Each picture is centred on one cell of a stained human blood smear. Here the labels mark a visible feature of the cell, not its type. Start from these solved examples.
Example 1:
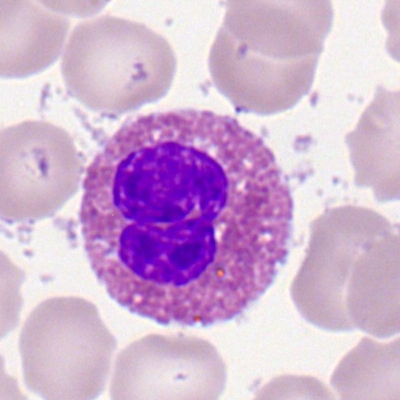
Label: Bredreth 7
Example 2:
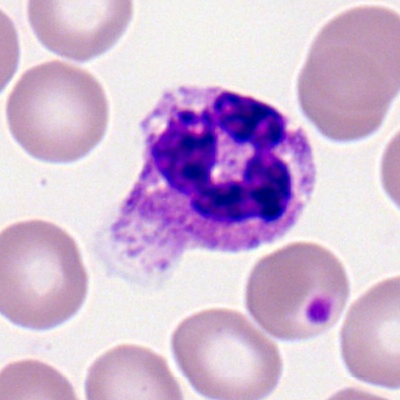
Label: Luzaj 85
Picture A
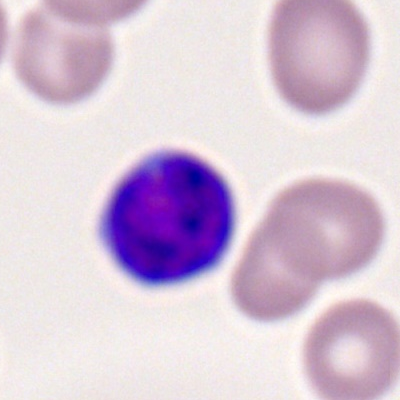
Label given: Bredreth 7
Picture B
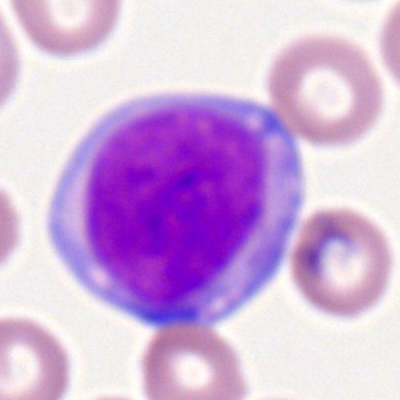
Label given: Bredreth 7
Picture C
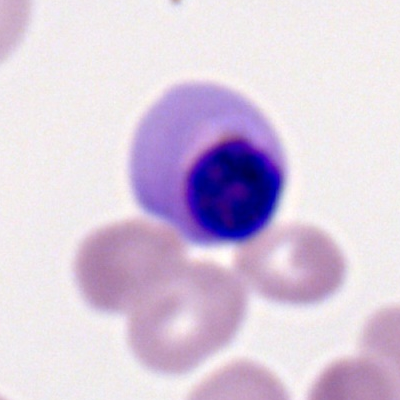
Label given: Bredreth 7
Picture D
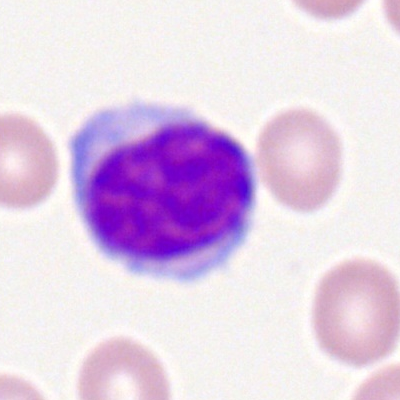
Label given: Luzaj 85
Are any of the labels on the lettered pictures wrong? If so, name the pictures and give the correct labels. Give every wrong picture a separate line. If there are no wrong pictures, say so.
None of the labels needs changing.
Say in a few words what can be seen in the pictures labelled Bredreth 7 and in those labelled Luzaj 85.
Seen in Bredreth 7: smooth outline; seen in Luzaj 85: ragged outline or projections.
